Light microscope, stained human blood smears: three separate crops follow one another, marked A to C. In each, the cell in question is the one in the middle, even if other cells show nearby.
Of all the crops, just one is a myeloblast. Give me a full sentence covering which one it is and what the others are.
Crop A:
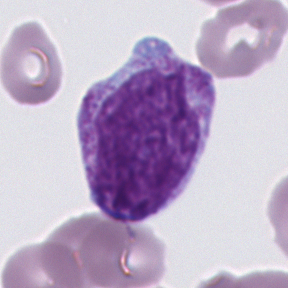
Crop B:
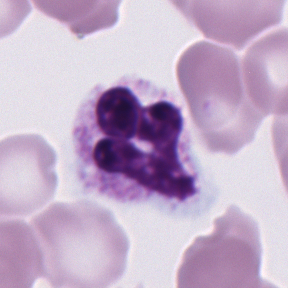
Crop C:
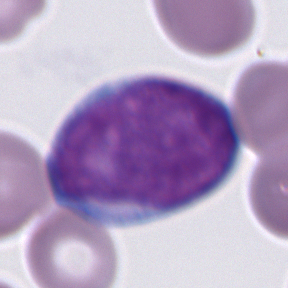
Seen in crop C is a myeloblast, while crop A is an atypical promyelocyte and crop B is a segmented neutrophil.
